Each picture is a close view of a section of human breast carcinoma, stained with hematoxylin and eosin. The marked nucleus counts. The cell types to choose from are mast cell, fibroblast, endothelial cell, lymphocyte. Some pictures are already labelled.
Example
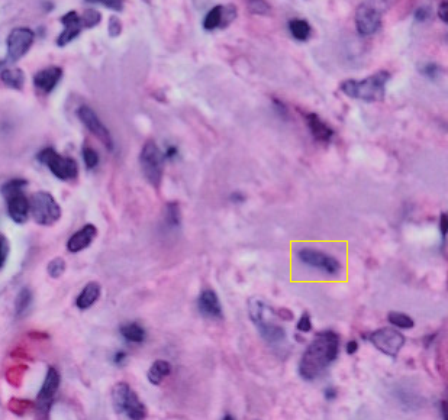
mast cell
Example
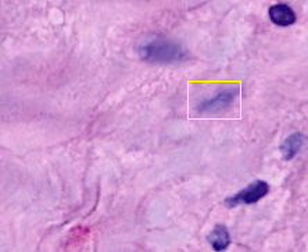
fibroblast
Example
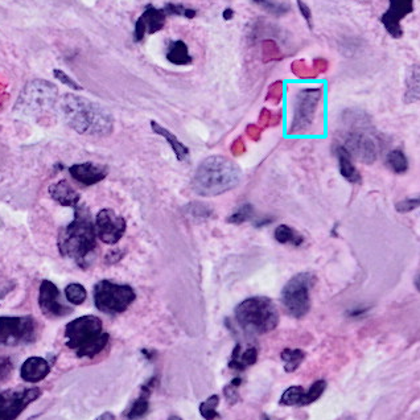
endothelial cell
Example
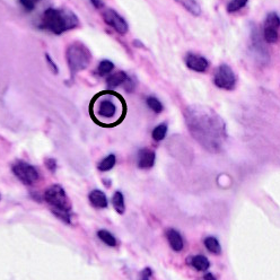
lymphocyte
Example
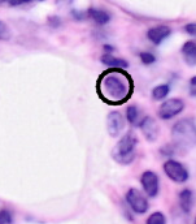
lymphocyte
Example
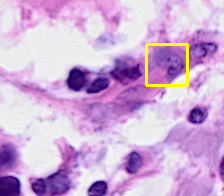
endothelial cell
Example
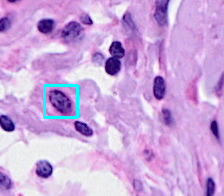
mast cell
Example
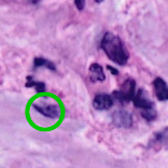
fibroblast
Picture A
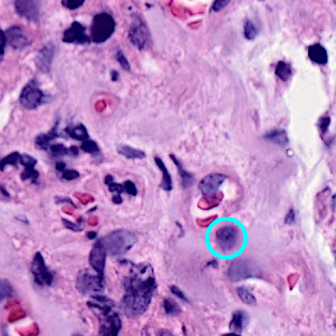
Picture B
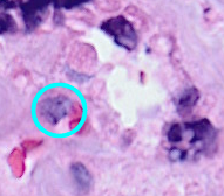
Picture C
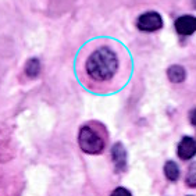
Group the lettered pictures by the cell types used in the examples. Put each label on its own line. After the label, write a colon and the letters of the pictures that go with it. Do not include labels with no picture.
mast cell: C
endothelial cell: A, B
